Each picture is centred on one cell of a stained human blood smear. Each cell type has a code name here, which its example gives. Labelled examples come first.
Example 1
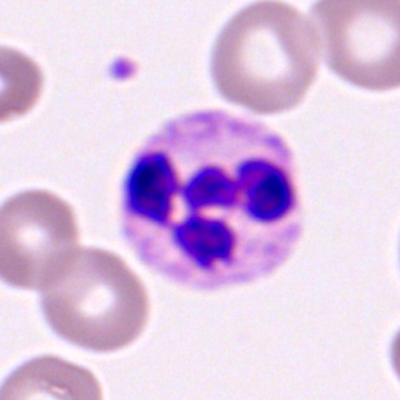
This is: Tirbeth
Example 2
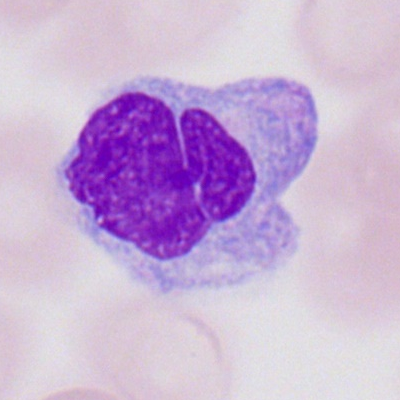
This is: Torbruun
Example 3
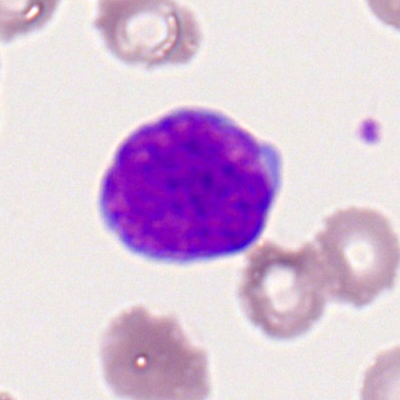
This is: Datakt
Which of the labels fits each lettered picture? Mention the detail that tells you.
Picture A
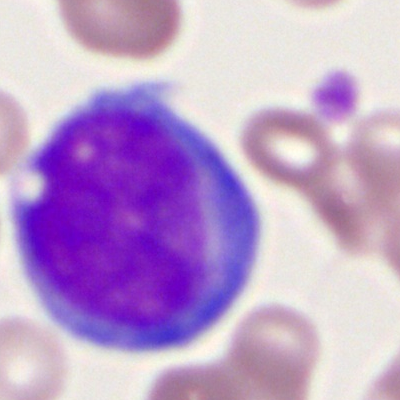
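Datakt. Reason: The cytoplasm is deep blue.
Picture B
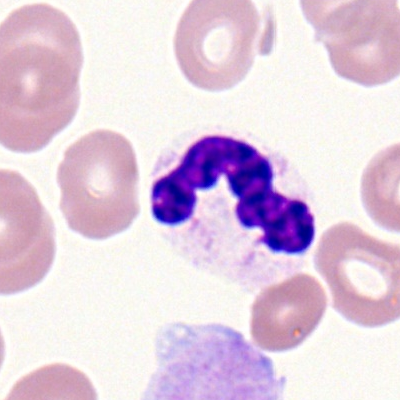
Tirbeth. Reason: The nucleus is a single curved band arching upward, with its open side facing down.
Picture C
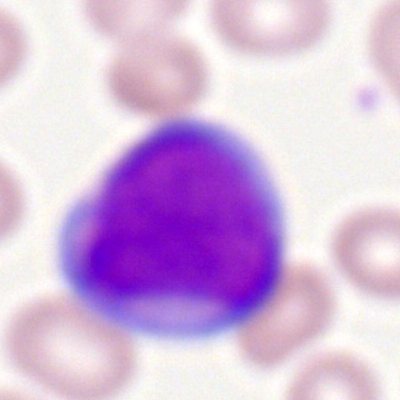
Datakt. Reason: The nucleus is large and fills most of the cell.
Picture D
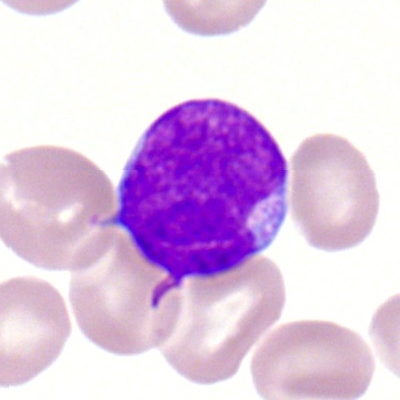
Datakt. Reason: The visible cytoplasm is deep blue.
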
